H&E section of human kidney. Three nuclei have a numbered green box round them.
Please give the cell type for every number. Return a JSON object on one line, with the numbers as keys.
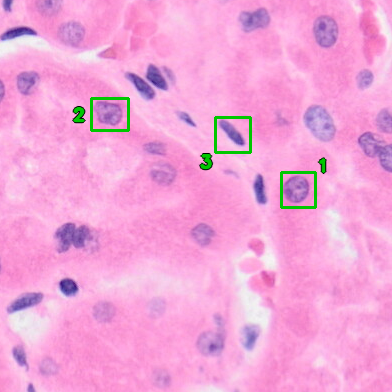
{"1": "proximal tubule cell", "2": "proximal tubule cell", "3": "endothelial cell"}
